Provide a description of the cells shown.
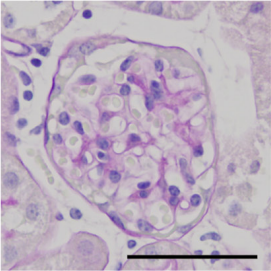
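This is a single glomerulus of the kidney, a rounded tuft of capillary loops enclosed by a thin capsule. The loops are mostly open, with thin pink walls and clear lumens, and only modest magenta material lies between them. Blue-purple nuclei are scattered evenly through the tuft.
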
